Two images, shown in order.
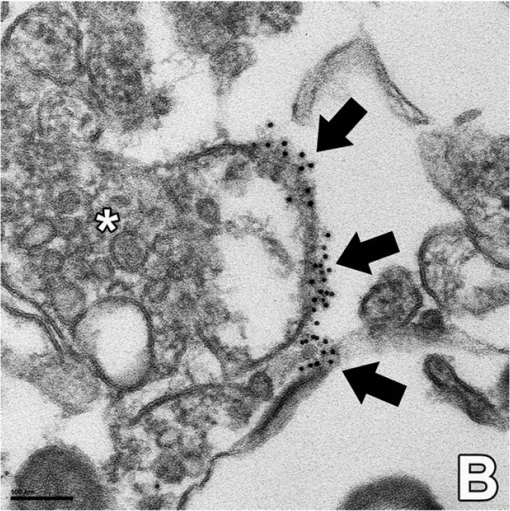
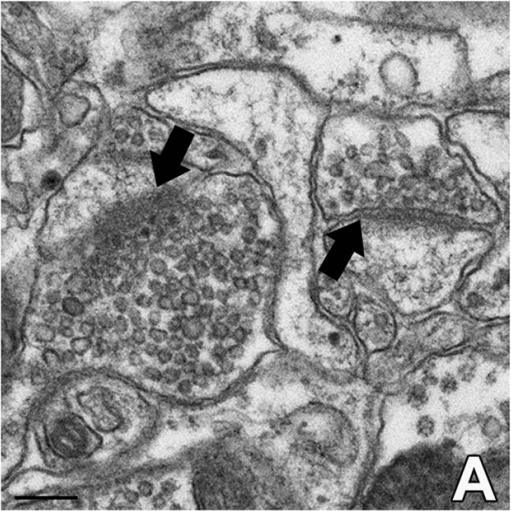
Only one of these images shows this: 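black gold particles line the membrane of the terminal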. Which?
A: the first image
